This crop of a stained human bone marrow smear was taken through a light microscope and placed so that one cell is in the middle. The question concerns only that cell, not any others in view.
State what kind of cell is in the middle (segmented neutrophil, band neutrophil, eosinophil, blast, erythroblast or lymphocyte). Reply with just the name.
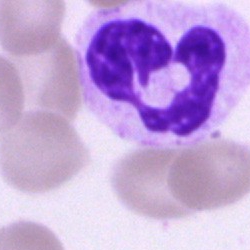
segmented neutrophil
